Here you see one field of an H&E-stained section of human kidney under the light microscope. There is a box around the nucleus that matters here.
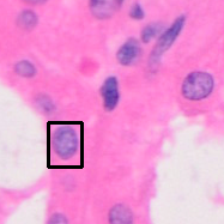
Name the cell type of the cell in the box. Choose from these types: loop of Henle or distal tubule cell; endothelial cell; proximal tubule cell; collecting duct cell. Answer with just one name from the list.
loop of Henle or distal tubule cell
